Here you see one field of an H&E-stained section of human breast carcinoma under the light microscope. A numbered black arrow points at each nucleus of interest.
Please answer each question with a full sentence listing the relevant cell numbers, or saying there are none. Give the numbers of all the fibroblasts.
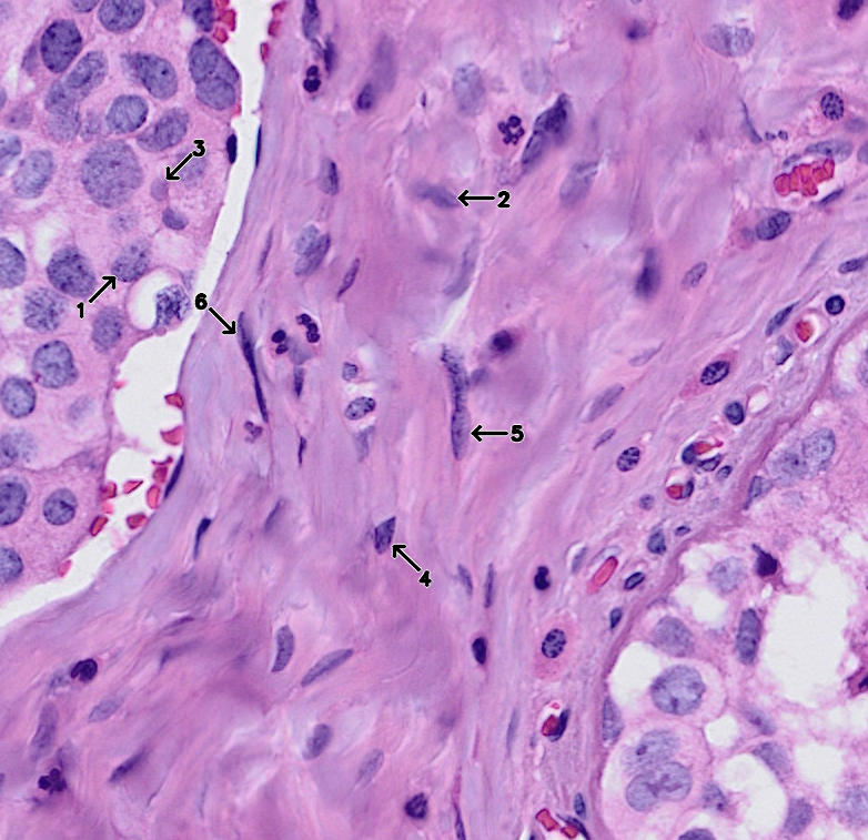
The cells numbered 2, 4, 5 and 6 fall into the category of fibroblasts.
